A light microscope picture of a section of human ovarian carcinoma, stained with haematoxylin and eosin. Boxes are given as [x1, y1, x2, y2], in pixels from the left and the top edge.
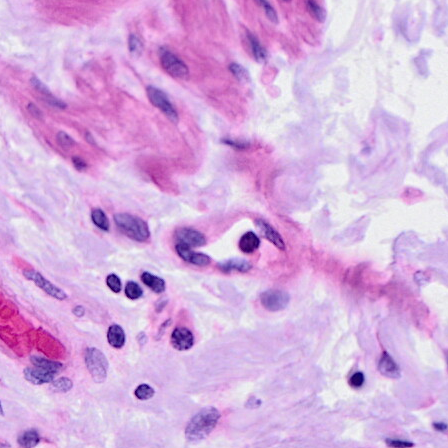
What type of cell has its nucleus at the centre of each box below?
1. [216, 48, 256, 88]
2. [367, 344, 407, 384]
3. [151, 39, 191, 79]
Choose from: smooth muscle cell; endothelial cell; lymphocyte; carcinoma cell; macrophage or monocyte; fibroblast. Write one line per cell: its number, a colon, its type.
1: smooth muscle cell
2: fibroblast
3: smooth muscle cell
